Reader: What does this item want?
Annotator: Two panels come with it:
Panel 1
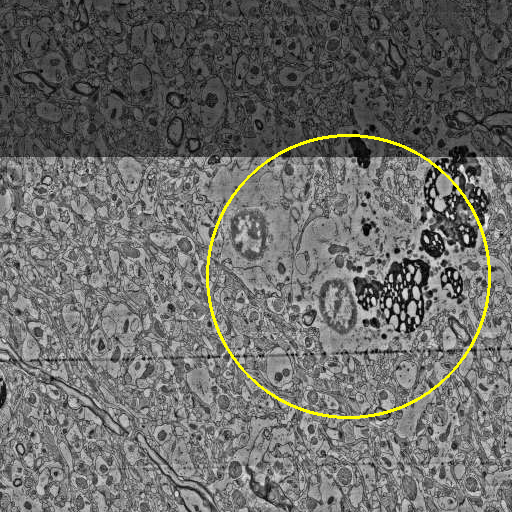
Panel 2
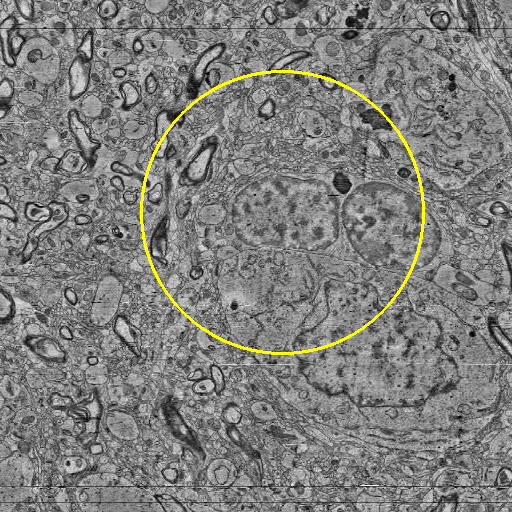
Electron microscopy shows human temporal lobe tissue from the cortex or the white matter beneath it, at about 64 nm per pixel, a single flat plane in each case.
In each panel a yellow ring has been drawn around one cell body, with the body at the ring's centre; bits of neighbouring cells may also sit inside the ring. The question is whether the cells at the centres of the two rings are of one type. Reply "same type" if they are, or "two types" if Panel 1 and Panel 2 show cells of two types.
two types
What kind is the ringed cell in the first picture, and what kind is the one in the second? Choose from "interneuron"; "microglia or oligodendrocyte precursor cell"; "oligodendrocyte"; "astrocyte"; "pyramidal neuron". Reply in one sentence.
The first cell is an astrocyte; the second is an oligodendrocyte.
